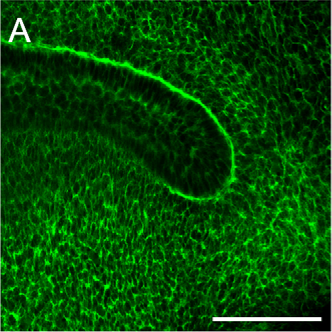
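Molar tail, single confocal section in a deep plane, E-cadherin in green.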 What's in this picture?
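A bright green line runs along the border of the band and curves around its tip. Within the band and in the tissue around it, faint green outlines trace the borders of many small, closely packed cells, giving a fine net-like pattern.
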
